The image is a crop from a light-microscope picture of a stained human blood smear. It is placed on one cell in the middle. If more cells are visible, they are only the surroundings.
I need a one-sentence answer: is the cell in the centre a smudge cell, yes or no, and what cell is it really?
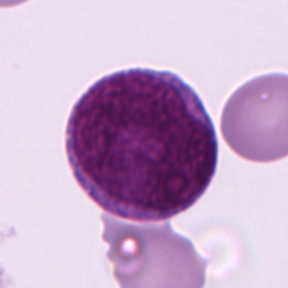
No, rather than a smudge cell, the central cell is a myeloblast.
